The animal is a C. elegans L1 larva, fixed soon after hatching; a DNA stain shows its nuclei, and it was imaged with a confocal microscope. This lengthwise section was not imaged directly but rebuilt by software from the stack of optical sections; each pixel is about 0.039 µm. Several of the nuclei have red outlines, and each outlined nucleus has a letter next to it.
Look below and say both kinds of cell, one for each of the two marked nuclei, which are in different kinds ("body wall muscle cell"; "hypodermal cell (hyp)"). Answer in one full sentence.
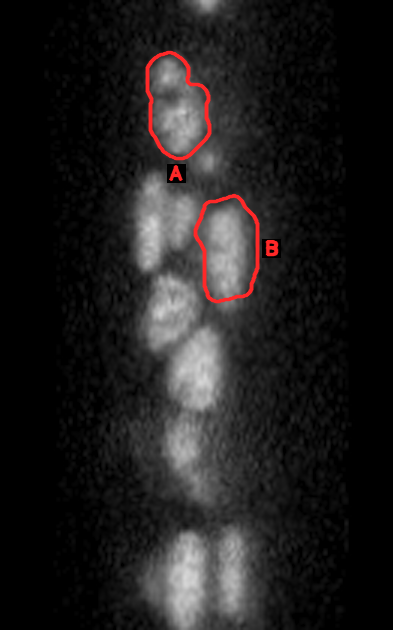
B belongs to a body wall muscle cell, and A to a hypodermal cell (hyp).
